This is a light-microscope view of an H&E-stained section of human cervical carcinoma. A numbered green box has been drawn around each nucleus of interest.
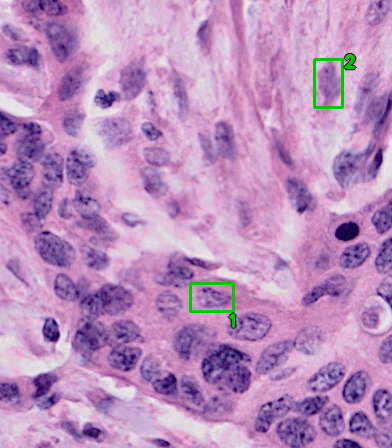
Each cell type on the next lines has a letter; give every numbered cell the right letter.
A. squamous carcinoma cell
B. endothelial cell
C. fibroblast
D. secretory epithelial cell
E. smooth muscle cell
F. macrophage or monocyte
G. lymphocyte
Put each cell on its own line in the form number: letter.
1: A
2: C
